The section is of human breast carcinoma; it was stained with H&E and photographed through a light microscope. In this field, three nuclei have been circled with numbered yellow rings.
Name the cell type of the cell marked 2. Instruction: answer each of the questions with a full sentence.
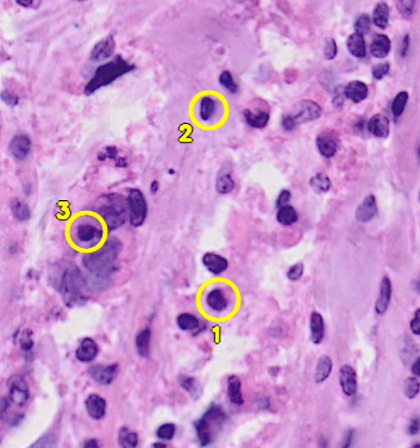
The marked cell with the number 2 is recognised as a lymphocyte.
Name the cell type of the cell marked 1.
Numbered cell 1 is a lymphocyte in this tissue section.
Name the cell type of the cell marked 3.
The cell referred to as 3 is a carcinoma cell.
